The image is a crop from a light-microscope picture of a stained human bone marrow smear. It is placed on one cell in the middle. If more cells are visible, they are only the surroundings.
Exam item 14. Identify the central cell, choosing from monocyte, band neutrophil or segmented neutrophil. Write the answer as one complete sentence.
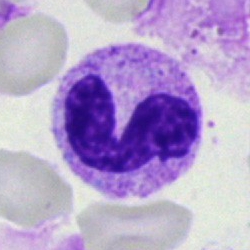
Present in the middle of the crop is a band neutrophil.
